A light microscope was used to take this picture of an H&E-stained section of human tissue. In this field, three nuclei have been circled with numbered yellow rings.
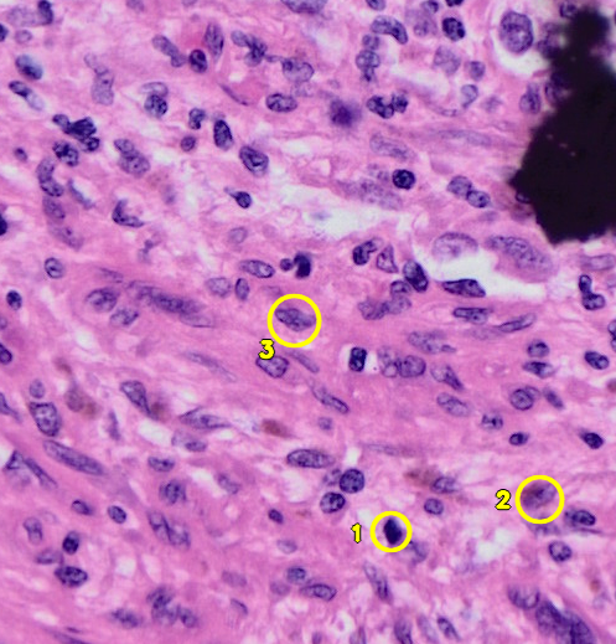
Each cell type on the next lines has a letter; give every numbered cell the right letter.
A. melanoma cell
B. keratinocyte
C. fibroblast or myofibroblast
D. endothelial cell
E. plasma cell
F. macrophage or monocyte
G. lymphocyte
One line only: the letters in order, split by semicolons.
E; F; F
